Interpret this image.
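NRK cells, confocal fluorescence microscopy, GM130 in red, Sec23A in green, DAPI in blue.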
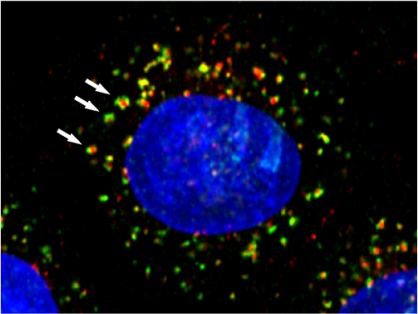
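A cell with a large oval blue nucleus is ringed by many small dots of red, green and yellow in the surrounding cytoplasm. No compact red body is present; the red appears as scattered puncta, many of which overlap green dots and look yellow. These yellow puncta lie mostly around the nucleus and toward one side of the cell.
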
